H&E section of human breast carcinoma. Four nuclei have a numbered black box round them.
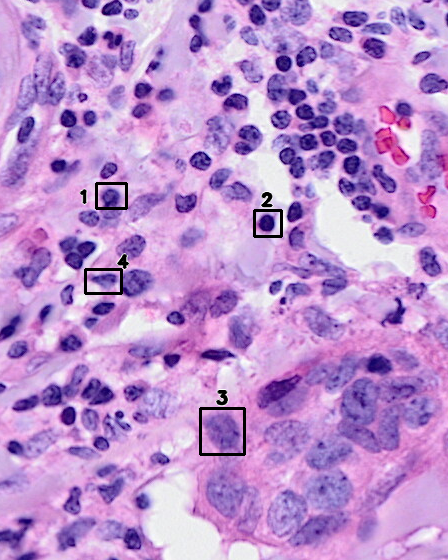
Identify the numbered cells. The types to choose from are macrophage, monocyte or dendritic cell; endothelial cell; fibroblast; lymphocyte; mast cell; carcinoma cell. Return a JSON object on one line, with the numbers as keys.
{"1": "lymphocyte", "2": "lymphocyte", "3": "carcinoma cell", "4": "lymphocyte"}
